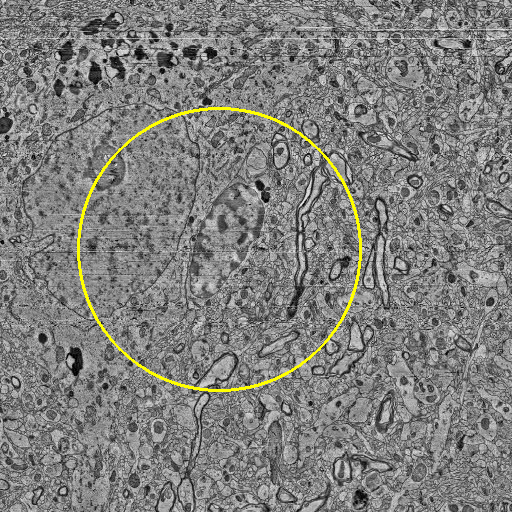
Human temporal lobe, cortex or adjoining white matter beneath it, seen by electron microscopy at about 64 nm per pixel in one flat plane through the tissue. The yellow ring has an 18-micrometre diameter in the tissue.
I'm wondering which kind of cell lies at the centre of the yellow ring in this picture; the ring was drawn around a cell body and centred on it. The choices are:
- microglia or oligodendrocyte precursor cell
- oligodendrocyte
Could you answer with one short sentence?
At the centre of the ring lies a microglial cell or oligodendrocyte precursor cell.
